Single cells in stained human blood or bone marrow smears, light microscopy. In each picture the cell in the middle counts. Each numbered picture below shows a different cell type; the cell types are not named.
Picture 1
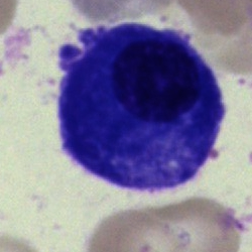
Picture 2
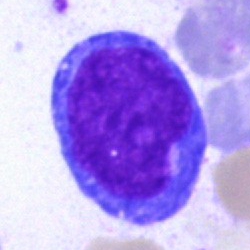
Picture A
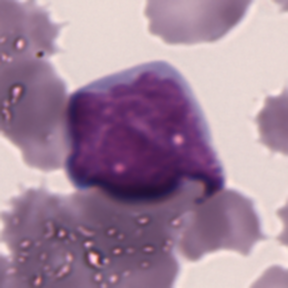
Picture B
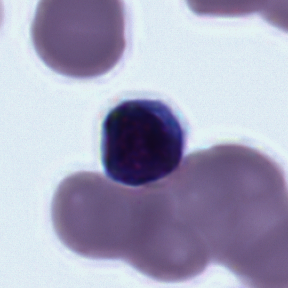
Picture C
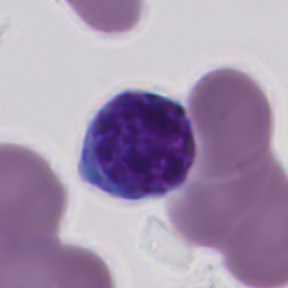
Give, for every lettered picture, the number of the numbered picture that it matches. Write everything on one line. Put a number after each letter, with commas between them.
A 2, B 1, C 1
